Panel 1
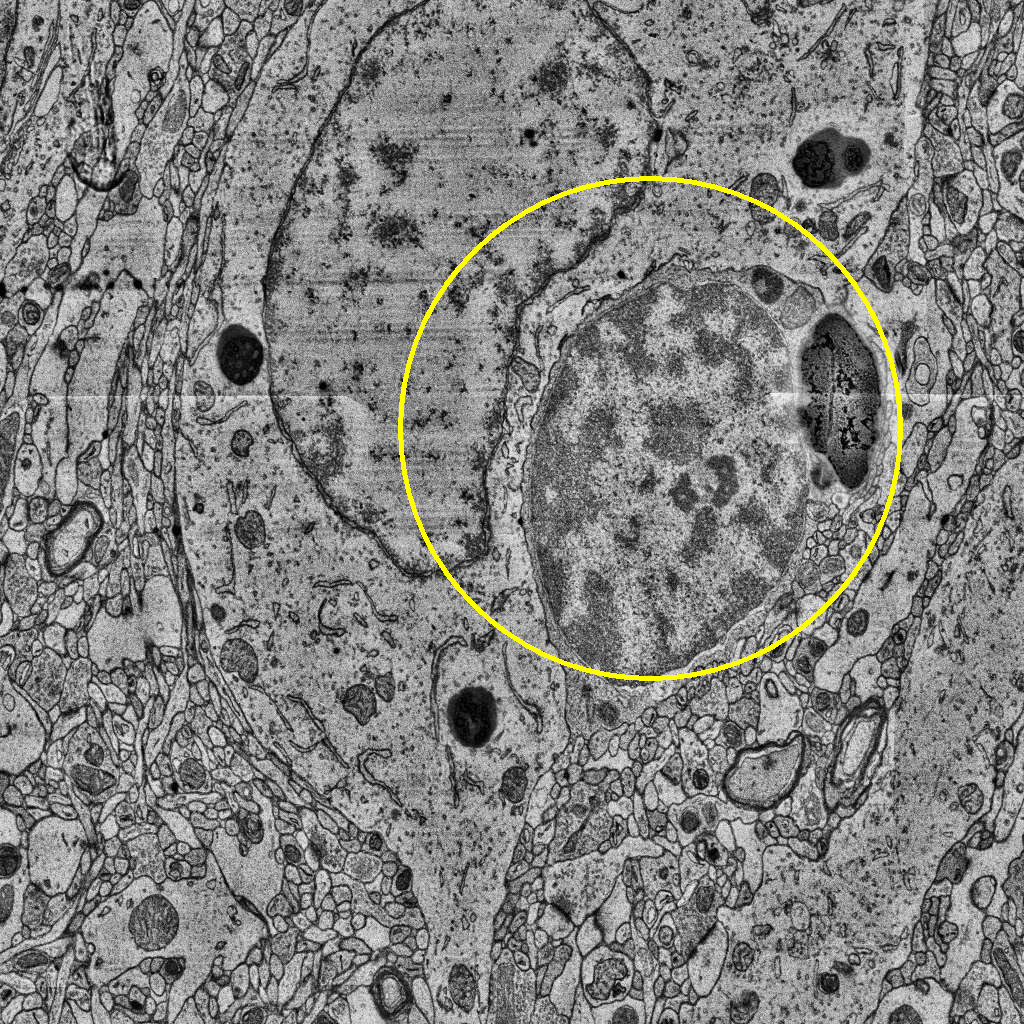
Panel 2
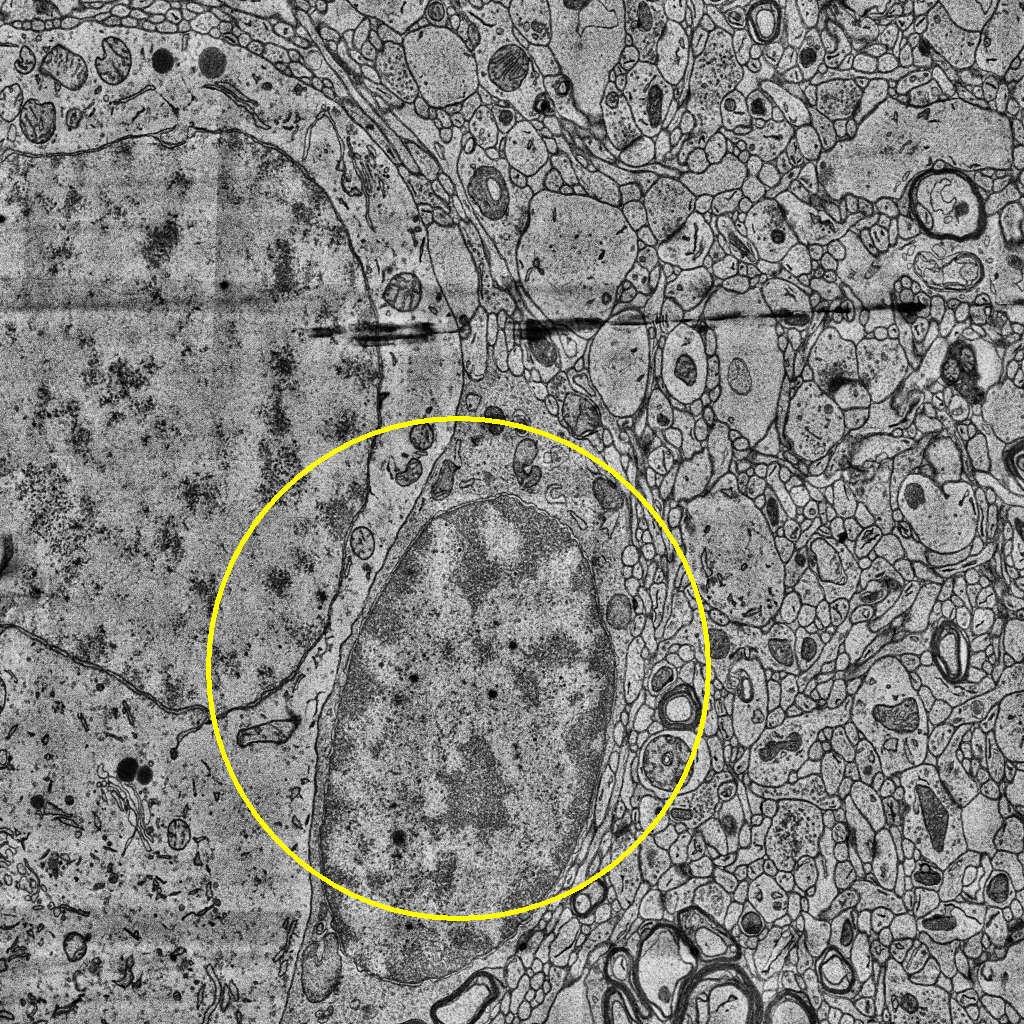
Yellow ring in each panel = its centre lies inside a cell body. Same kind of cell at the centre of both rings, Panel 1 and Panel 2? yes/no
yes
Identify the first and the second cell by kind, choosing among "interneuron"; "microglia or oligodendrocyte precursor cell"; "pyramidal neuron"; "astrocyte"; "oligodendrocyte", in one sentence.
The first and the second cell are each an oligodendrocyte.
